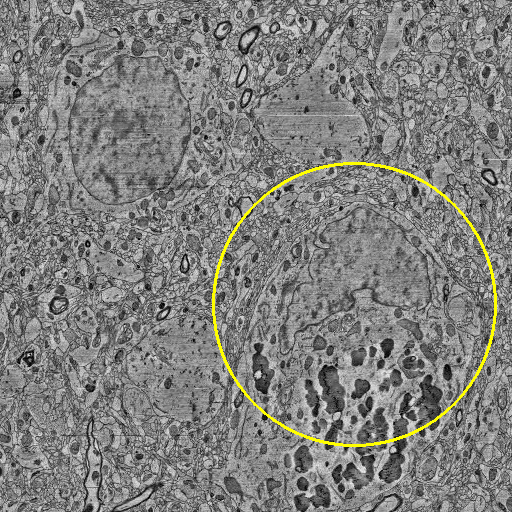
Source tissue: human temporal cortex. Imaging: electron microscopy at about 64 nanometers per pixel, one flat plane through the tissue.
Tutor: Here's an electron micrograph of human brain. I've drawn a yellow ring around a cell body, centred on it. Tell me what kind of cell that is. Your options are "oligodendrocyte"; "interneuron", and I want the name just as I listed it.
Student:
interneuron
